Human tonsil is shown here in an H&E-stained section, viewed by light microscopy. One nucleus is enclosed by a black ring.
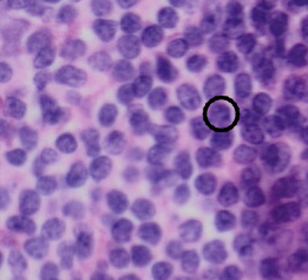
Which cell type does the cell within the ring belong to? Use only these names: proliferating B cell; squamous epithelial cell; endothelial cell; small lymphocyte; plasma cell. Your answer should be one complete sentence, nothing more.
In this preparation, the cell within the ring is a small lymphocyte.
